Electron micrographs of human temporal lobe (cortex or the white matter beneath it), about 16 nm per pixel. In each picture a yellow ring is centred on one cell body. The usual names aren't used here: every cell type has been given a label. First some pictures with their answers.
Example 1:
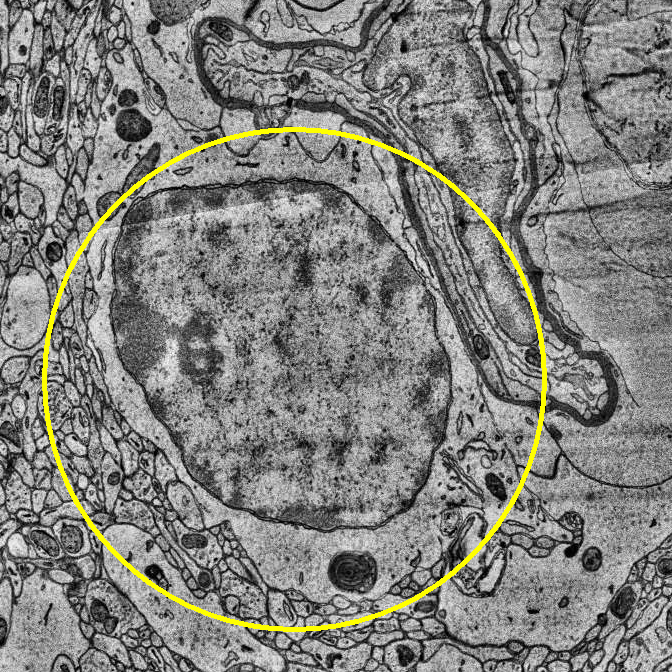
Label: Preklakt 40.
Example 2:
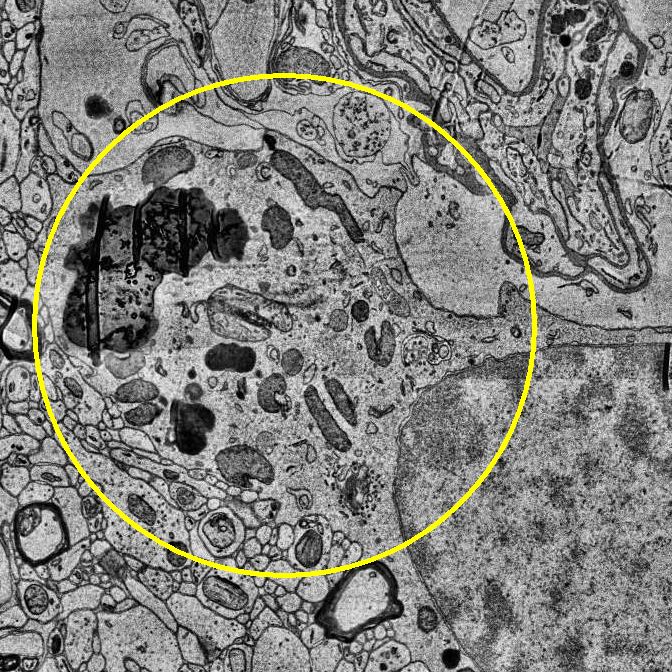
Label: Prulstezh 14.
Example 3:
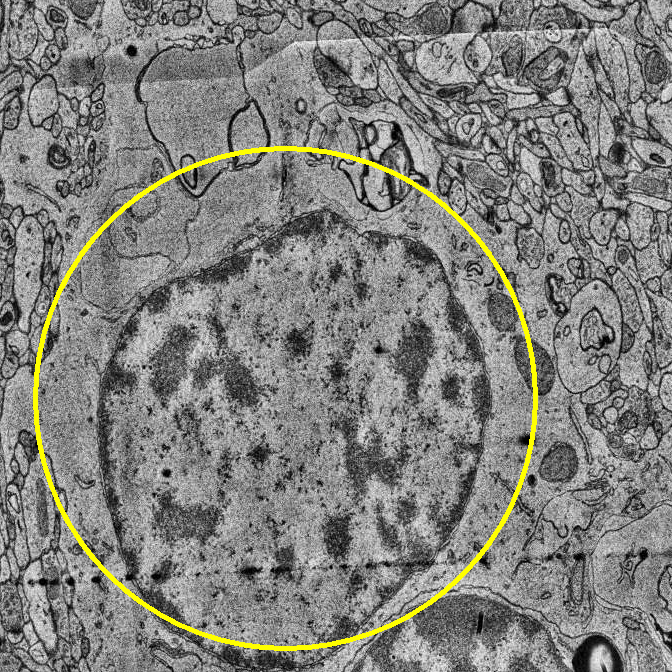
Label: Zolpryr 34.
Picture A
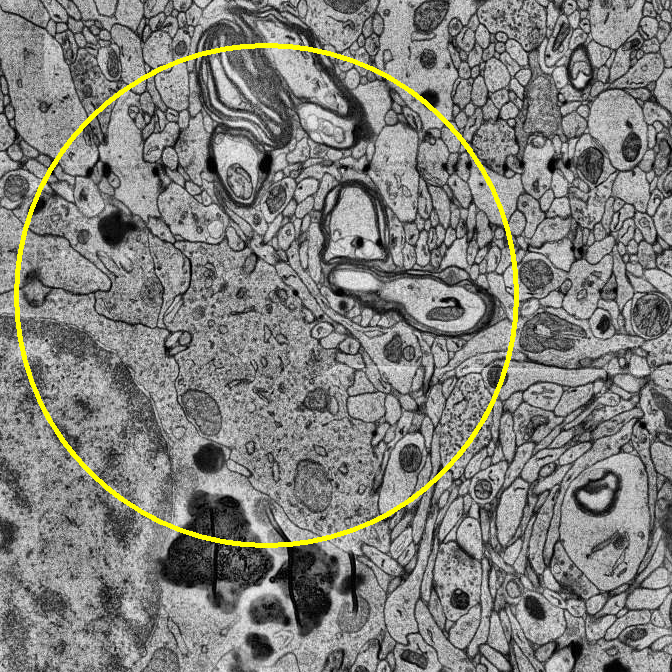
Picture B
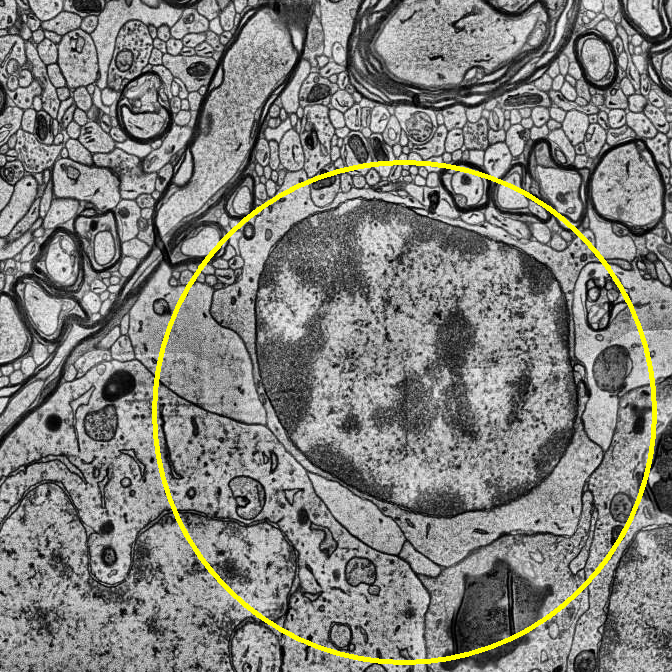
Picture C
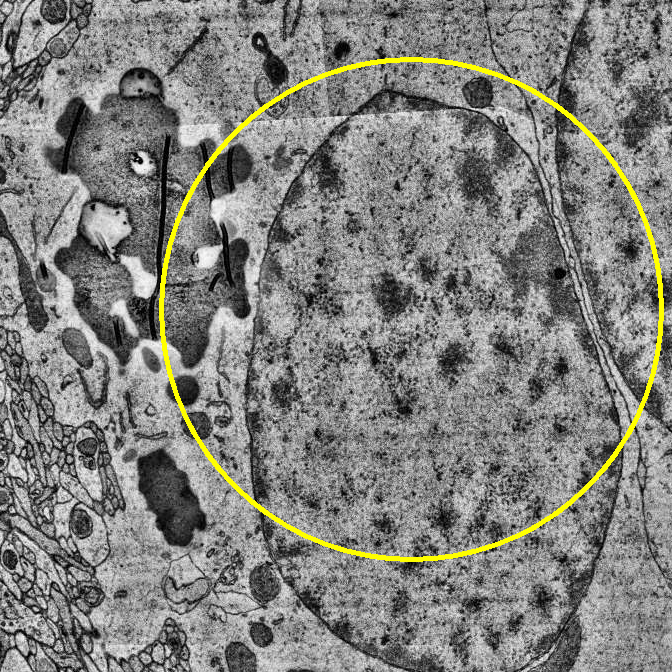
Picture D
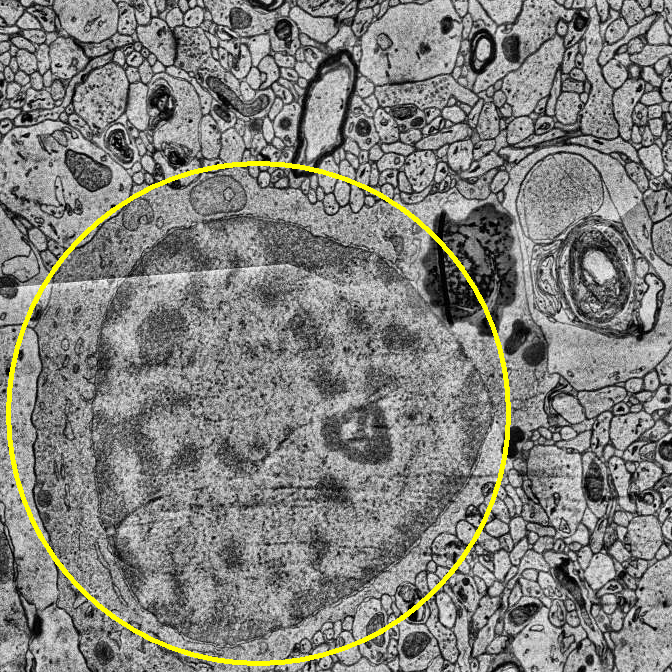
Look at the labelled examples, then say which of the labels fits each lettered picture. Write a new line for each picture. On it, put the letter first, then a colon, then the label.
A: Prulstezh 14.
B: Preklakt 40.
C: Zolpryr 34.
D: Prulstezh 14.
